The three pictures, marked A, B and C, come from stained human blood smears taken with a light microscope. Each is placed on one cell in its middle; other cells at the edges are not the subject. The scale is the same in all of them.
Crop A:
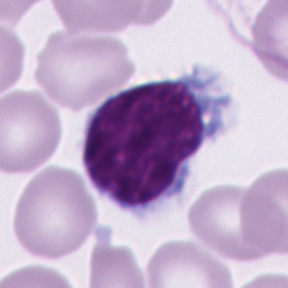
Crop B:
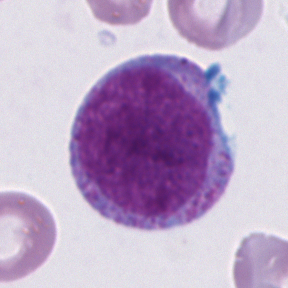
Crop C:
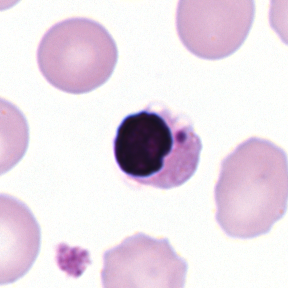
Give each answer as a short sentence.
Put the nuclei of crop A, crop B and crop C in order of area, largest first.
The order is B, A, C, beginning with the largest.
